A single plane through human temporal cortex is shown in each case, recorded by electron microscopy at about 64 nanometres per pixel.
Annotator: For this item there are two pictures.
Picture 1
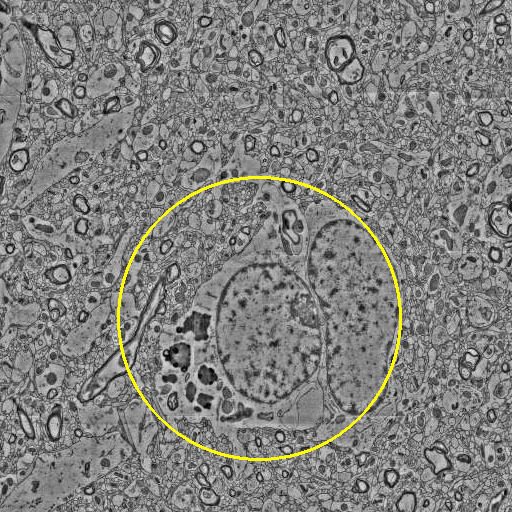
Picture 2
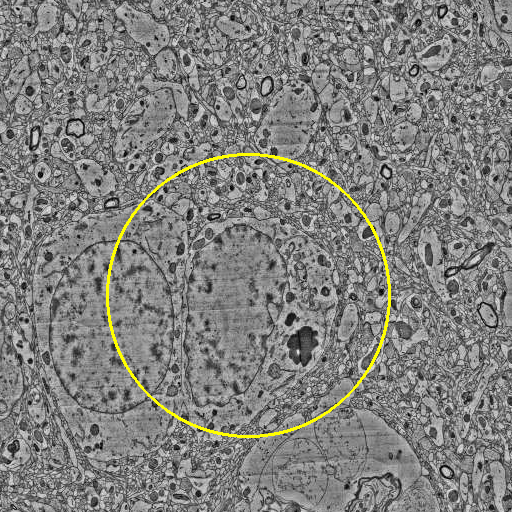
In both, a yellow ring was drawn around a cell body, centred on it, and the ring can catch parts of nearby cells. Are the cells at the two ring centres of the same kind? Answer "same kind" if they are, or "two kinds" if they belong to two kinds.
two kinds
